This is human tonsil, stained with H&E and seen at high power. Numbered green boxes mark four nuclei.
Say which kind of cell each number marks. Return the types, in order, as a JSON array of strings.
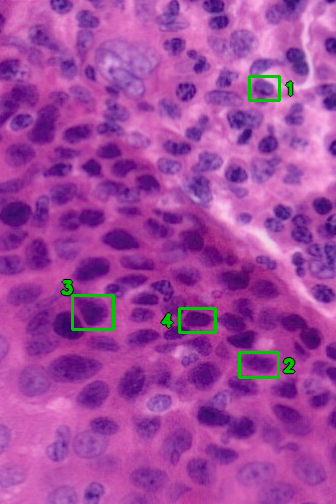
["plasma cell", "squamous epithelial cell", "squamous epithelial cell", "squamous epithelial cell"]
